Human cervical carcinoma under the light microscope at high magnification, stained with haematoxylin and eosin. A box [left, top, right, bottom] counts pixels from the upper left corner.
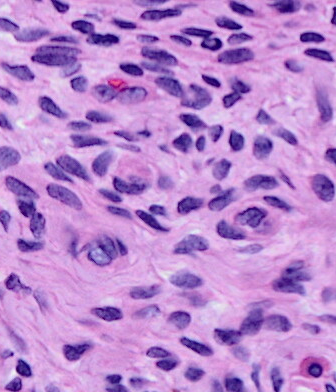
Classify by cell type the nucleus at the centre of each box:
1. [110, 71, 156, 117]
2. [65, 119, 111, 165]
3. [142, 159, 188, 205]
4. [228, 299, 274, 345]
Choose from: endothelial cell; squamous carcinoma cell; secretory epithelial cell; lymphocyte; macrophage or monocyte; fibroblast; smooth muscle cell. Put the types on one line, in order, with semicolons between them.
endothelial cell; fibroblast; fibroblast; fibroblast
